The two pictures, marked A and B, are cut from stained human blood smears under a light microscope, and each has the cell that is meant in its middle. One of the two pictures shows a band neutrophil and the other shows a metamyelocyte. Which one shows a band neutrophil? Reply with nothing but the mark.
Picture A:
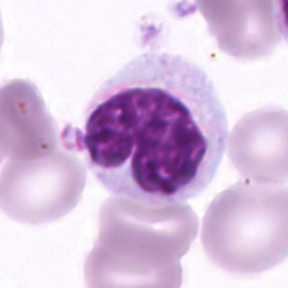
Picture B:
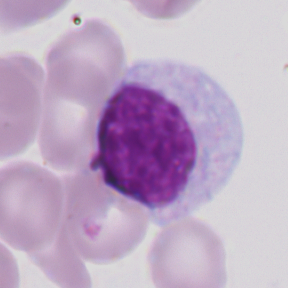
A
